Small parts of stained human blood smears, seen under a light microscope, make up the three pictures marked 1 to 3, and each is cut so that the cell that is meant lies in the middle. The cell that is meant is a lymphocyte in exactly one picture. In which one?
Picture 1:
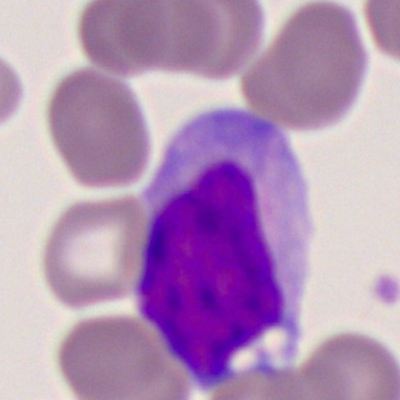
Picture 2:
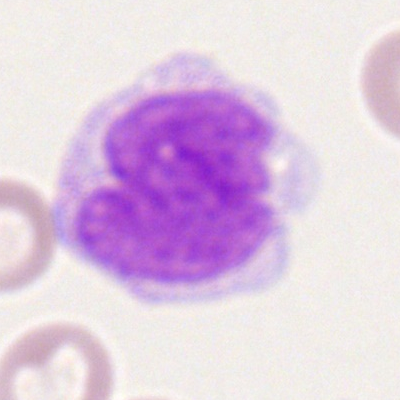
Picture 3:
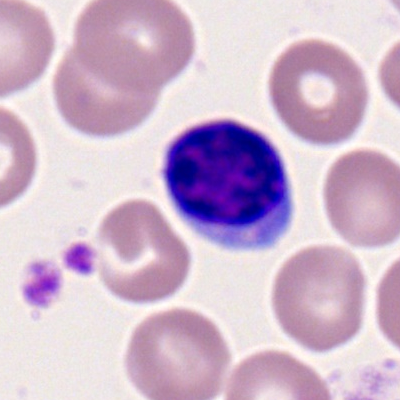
3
